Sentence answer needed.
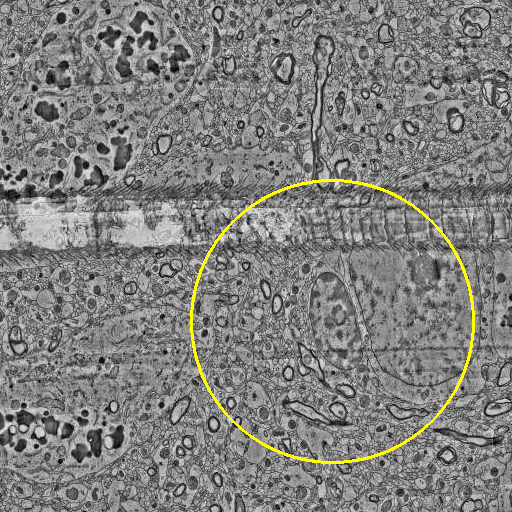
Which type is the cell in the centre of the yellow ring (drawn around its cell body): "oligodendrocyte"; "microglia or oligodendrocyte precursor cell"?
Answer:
In the centre of the yellow ring is a microglial cell or oligodendrocyte precursor cell.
